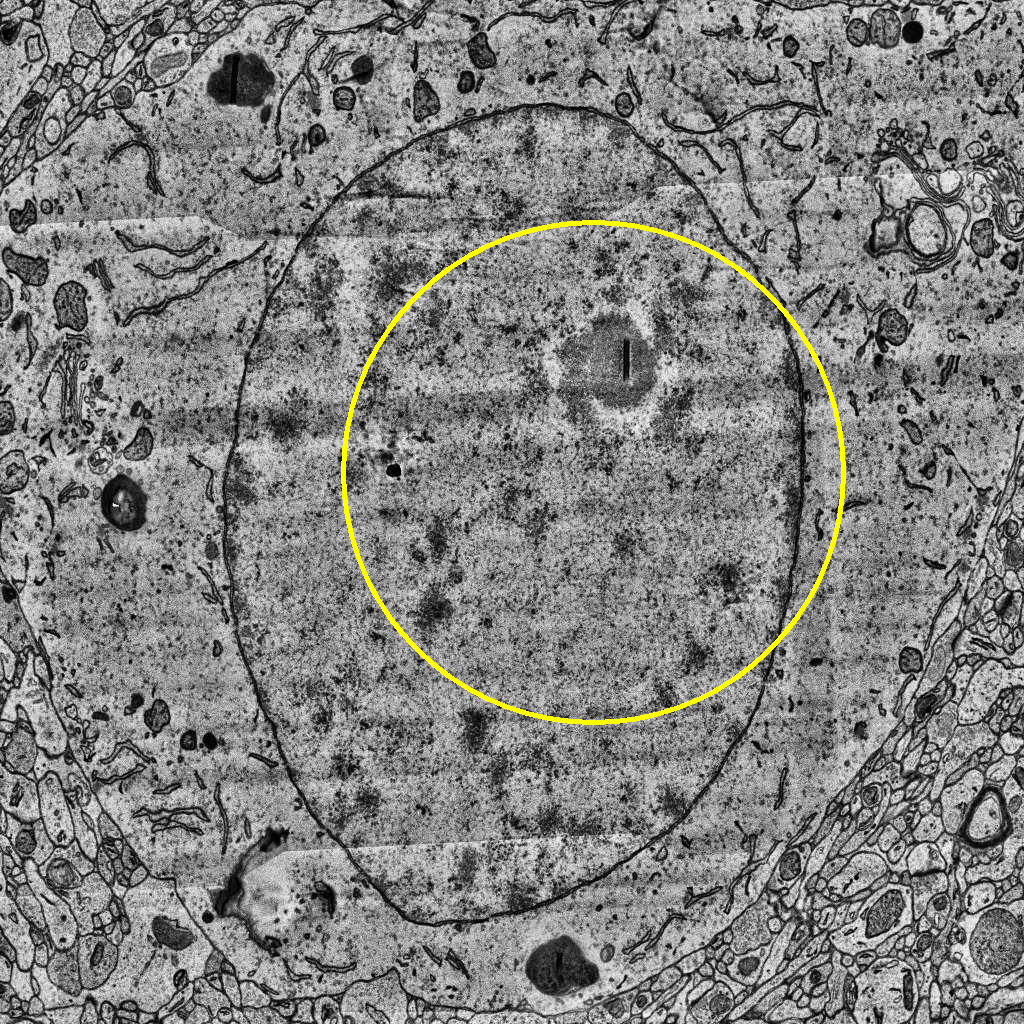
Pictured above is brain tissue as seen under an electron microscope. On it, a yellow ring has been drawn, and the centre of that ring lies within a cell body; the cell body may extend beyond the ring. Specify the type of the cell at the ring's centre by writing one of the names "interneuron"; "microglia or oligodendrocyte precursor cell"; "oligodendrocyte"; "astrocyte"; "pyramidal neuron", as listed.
pyramidal neuron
